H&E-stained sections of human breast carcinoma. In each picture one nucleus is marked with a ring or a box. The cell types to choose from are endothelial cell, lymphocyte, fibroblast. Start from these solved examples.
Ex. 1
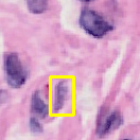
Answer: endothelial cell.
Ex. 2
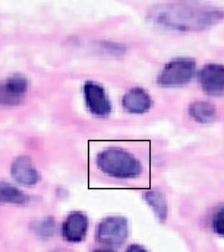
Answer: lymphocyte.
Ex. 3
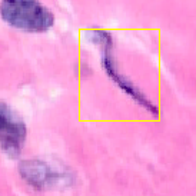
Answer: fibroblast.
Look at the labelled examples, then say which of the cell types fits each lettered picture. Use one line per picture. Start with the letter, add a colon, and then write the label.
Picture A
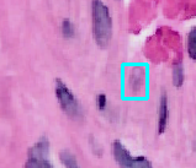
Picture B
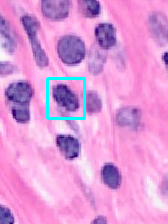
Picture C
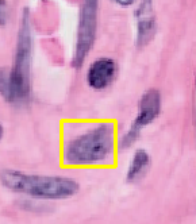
A: endothelial cell.
B: lymphocyte.
C: endothelial cell.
